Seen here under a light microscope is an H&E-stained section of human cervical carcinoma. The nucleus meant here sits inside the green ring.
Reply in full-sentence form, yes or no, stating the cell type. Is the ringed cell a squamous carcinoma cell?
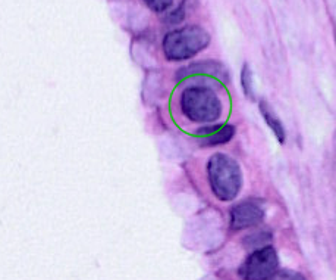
No, the ringed cell is not a squamous carcinoma cell, but is instead a secretory epithelial cell.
